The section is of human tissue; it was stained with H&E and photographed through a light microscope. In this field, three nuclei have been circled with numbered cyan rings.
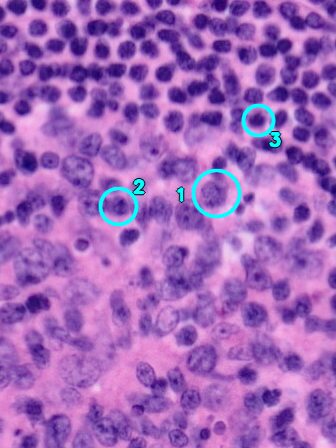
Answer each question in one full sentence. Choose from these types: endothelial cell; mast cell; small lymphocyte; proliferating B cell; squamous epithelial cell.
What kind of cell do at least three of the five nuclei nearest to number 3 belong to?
Small lymphocytes make up most of the five nuclei closest to number 3.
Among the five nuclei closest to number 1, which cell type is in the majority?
Of the five nuclei nearest to number 1, most belong to proliferating B cells.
